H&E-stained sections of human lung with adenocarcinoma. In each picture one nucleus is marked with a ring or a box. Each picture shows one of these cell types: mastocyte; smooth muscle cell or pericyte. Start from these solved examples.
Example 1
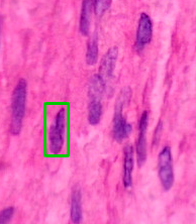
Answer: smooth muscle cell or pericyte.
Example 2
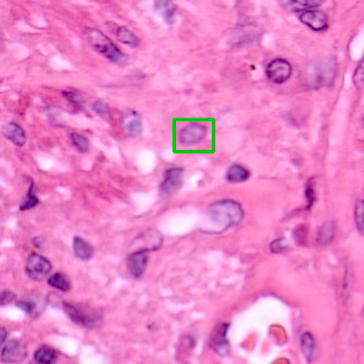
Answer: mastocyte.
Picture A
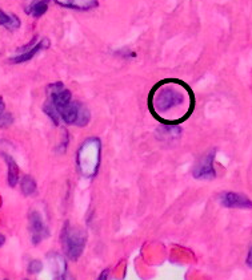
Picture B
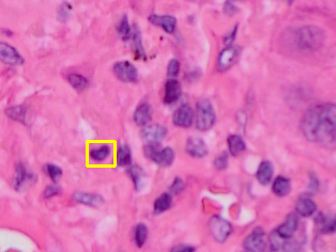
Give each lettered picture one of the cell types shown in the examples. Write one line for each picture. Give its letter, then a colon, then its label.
A: mastocyte.
B: mastocyte.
